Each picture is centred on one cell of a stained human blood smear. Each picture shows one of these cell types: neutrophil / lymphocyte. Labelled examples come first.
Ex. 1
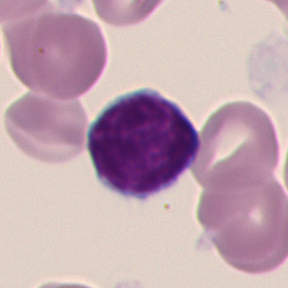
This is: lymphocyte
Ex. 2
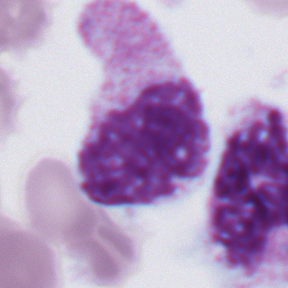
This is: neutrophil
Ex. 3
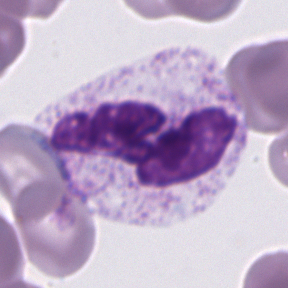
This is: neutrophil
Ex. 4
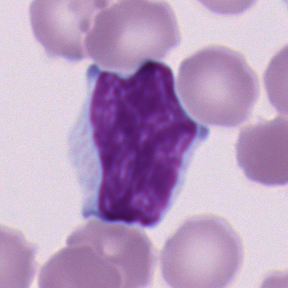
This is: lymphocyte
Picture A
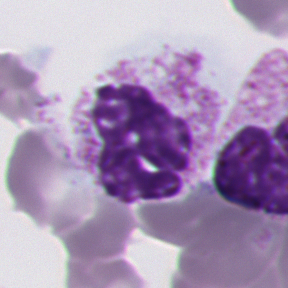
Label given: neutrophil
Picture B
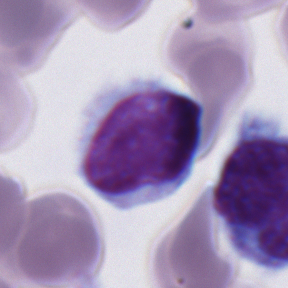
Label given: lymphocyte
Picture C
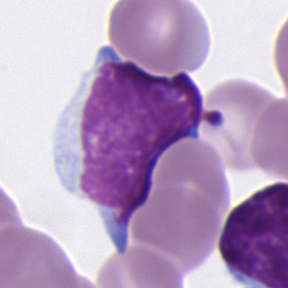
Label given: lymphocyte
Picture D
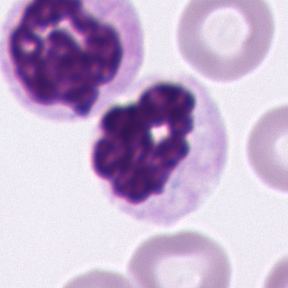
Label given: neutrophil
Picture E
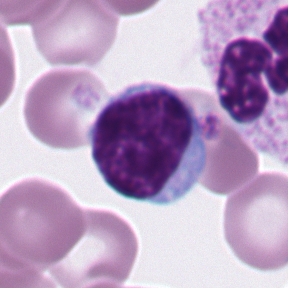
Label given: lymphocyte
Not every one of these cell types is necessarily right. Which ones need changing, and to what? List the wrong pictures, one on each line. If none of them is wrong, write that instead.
No label is wrong.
